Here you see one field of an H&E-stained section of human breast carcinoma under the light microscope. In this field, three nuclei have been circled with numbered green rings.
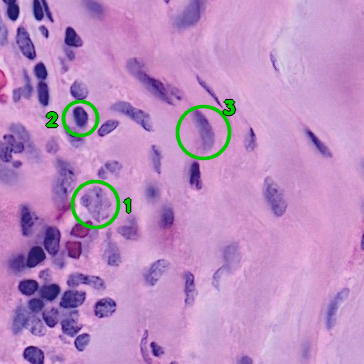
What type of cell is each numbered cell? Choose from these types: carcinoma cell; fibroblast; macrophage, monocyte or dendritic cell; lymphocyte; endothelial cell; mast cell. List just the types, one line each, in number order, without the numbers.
endothelial cell
lymphocyte
fibroblast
